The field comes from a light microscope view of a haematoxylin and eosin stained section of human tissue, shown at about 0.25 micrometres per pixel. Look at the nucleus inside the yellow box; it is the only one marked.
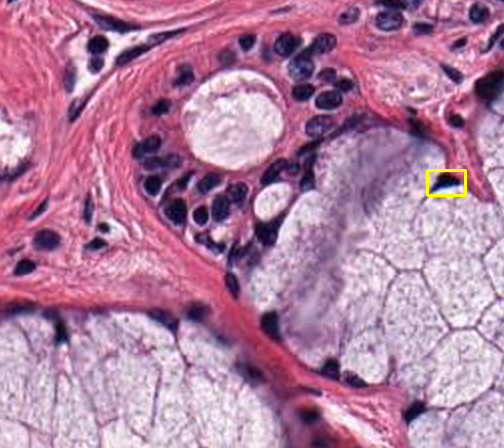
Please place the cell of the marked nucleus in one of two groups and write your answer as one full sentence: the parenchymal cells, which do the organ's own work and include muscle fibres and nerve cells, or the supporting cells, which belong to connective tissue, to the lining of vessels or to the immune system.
The marked nucleus is the nucleus of a parenchymal cell, that is, a mucous gland cell.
